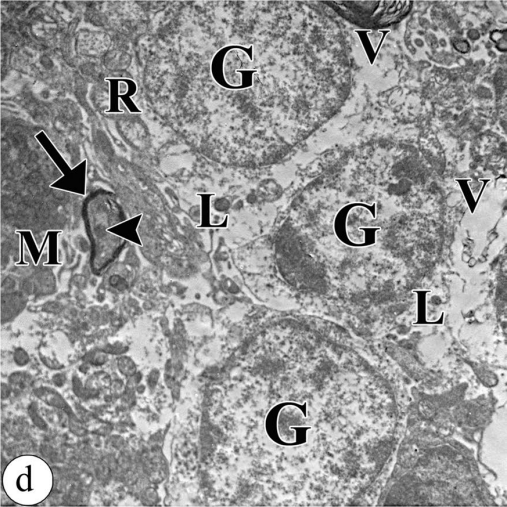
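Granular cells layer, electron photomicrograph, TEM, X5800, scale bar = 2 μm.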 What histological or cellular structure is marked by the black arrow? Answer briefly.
myelinated nerve axon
